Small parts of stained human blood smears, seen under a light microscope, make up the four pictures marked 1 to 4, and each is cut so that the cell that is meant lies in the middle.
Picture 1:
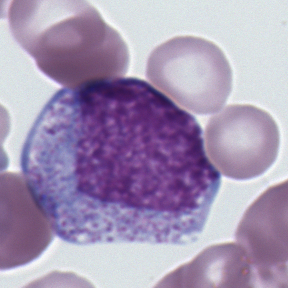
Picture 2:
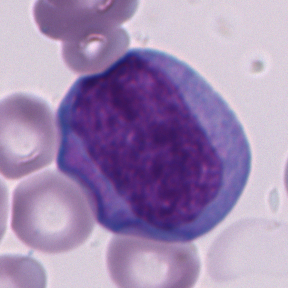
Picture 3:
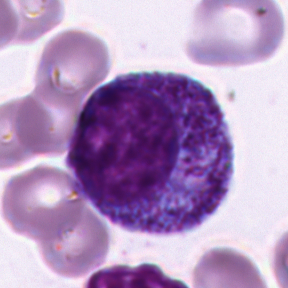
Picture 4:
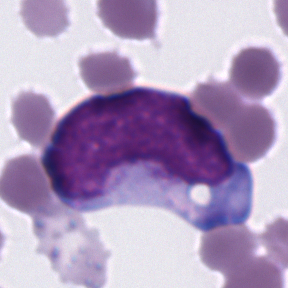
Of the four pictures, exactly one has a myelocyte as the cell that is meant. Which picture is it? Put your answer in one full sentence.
The myelocyte is the one in picture 1.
